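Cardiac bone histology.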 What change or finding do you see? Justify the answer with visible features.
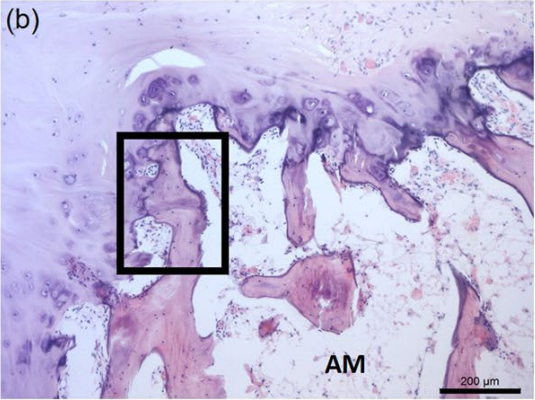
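Endochondral ossification. Cartilage with cells in lacunae occupies the upper part. A dark purple front borders the cartilage. Pink bone trabeculae extend downward from the cartilage into marrow spaces.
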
